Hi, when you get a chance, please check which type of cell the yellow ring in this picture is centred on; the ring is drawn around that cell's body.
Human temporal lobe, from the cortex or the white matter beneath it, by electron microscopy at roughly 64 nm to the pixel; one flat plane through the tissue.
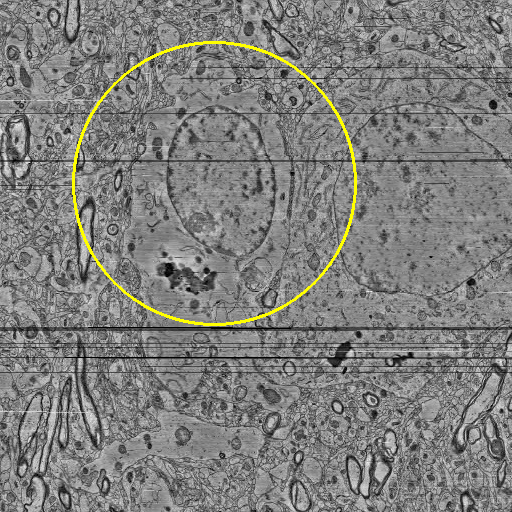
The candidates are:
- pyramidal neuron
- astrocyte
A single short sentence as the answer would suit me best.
The ring is drawn around the body of an astrocyte.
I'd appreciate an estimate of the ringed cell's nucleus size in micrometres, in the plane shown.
Roughly 10 by 7 micrometres is the size of the nucleus in this plane.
